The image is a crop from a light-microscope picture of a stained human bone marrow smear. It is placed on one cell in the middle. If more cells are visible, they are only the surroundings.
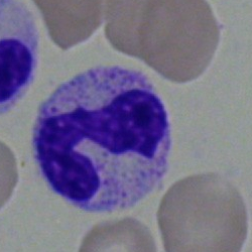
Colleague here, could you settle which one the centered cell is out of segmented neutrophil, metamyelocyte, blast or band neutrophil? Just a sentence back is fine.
The crop's centre is taken up by a band neutrophil.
